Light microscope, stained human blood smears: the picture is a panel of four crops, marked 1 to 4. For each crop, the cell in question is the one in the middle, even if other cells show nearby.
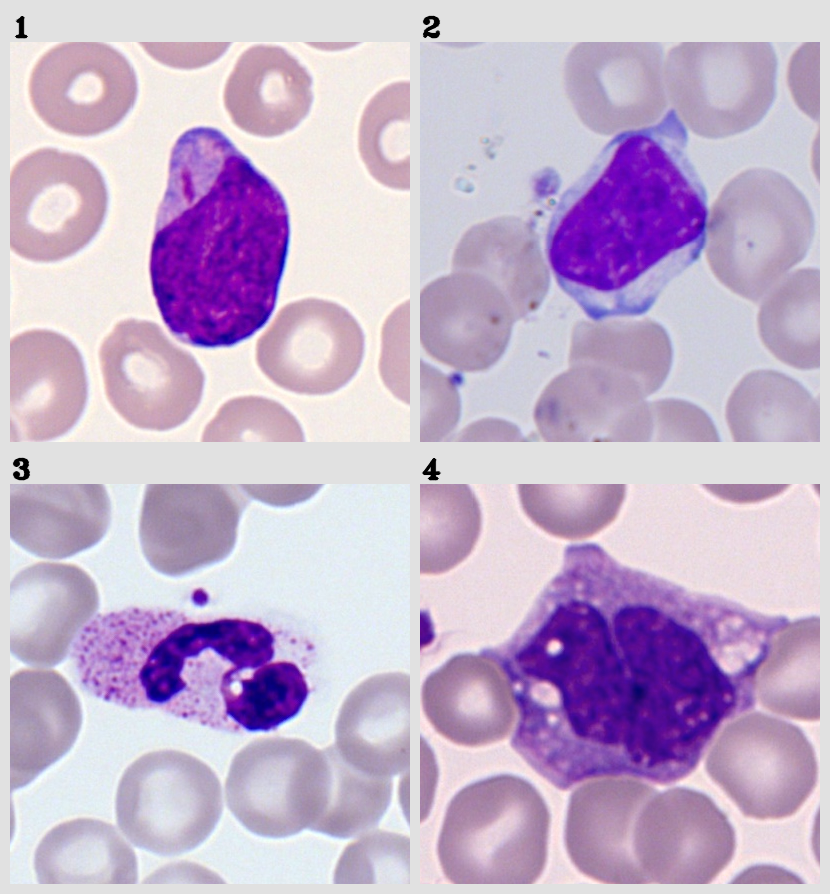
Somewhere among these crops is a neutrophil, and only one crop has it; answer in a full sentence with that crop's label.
Of all the crops, crop 3 is the one showing a neutrophil.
